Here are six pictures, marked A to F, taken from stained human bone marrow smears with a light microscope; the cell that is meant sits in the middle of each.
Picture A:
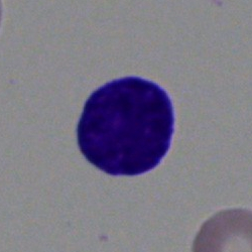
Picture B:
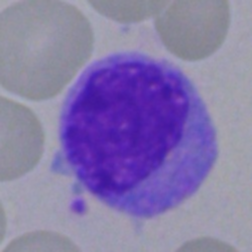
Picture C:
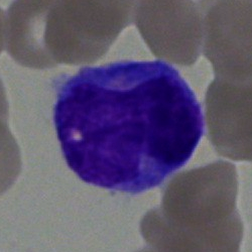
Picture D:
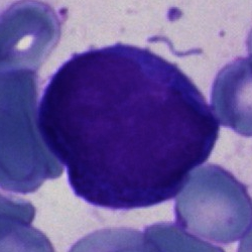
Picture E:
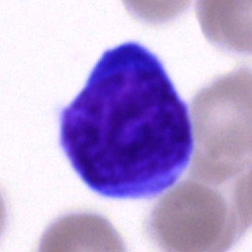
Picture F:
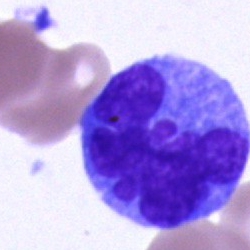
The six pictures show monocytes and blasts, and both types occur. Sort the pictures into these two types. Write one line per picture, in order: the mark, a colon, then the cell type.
A: blast
B: monocyte
C: monocyte
D: blast
E: blast
F: blast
